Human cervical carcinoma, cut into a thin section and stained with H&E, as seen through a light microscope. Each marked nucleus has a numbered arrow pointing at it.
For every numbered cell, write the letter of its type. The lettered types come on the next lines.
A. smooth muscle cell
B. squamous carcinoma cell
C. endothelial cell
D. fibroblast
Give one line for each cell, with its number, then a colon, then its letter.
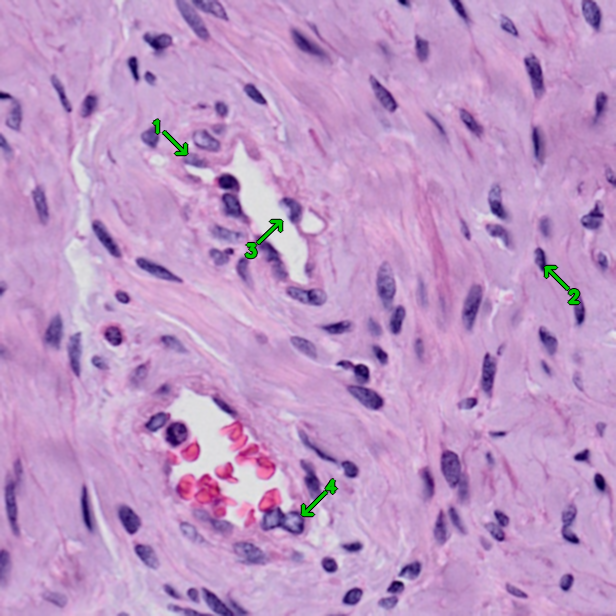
1: C
2: D
3: C
4: C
